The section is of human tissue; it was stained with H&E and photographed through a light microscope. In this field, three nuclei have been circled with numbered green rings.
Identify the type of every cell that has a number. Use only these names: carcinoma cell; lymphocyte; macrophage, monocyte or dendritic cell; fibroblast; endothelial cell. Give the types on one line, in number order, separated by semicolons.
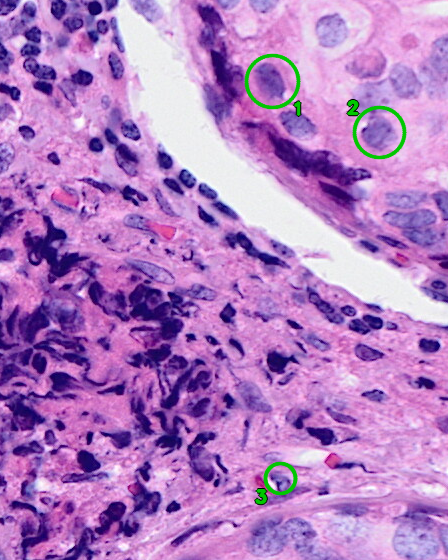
carcinoma cell; carcinoma cell; endothelial cell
